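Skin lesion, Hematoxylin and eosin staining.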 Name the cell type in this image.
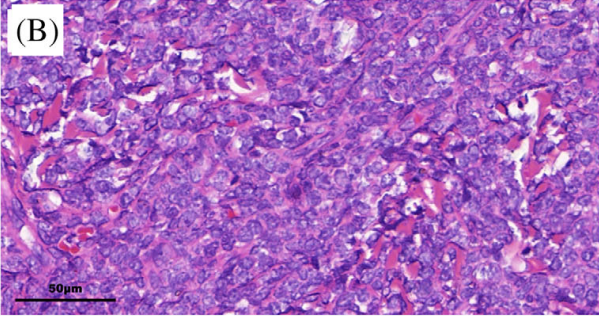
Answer: Blastoid large cells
